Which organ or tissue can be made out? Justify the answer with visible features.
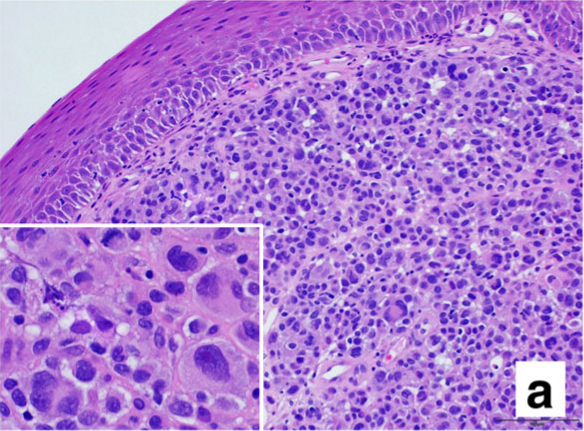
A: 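A stratified layer of flattened, orderly cells runs along the upper left edge. Its surface cells become progressively flatter toward the edge. A dense sheet of crowded, atypical cells lies beneath it. So: normal squamous epithelium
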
